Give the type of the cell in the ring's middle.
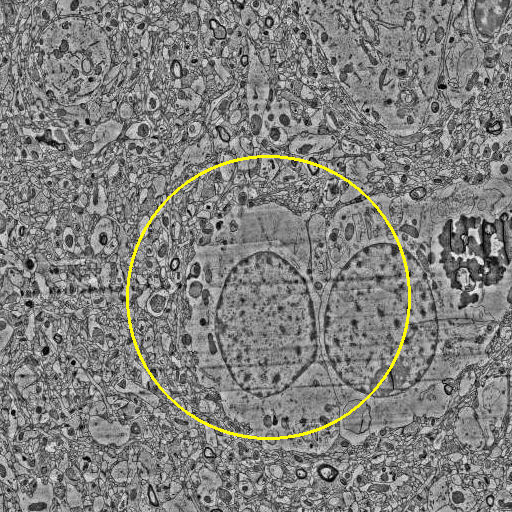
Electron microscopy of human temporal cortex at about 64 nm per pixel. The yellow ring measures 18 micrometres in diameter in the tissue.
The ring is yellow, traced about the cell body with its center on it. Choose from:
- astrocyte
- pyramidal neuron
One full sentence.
Here, an astrocyte is the cell lying at the center of the yellow ring.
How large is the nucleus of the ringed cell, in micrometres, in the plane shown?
In this plane, the nucleus is roughly 9 by 7 micrometres.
